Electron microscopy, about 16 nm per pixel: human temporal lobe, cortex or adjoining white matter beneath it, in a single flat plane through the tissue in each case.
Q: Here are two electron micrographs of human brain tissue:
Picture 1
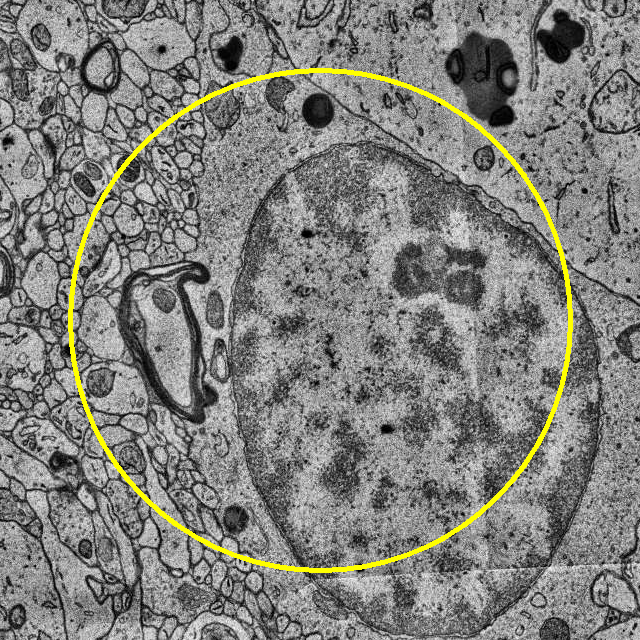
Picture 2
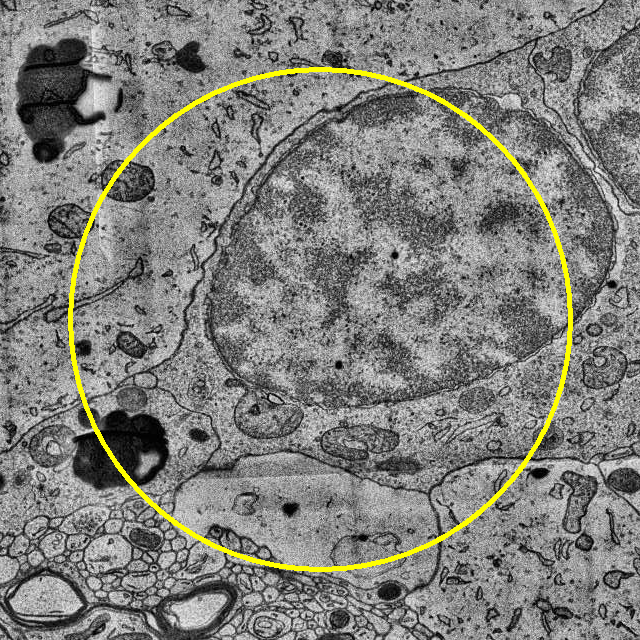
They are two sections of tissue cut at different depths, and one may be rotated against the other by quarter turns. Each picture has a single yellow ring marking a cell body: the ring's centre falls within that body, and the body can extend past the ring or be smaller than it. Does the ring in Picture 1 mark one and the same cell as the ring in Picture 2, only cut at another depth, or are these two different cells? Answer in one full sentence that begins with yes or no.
Yes, both yellow rings were placed on the same cell.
